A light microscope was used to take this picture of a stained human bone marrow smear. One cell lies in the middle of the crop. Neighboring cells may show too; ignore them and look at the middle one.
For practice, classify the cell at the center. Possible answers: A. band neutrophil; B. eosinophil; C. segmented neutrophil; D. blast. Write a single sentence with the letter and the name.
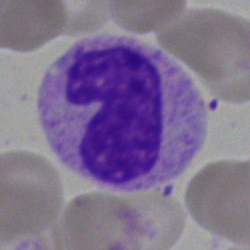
Option A correctly states that the central cell is a band neutrophil.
